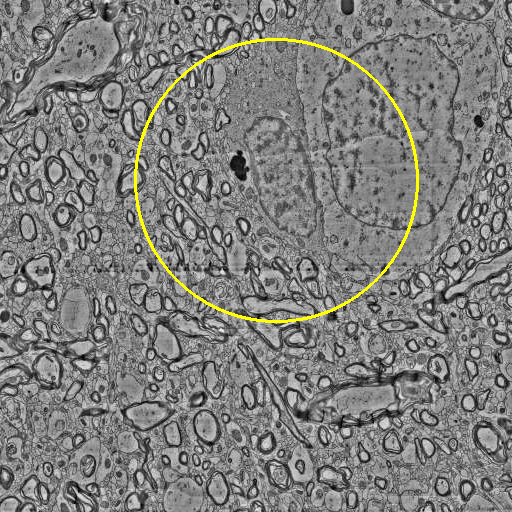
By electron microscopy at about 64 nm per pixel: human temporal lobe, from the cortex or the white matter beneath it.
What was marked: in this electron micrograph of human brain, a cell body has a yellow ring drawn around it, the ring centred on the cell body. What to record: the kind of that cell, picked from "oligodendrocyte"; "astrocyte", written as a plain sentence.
The centred cell is an oligodendrocyte.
